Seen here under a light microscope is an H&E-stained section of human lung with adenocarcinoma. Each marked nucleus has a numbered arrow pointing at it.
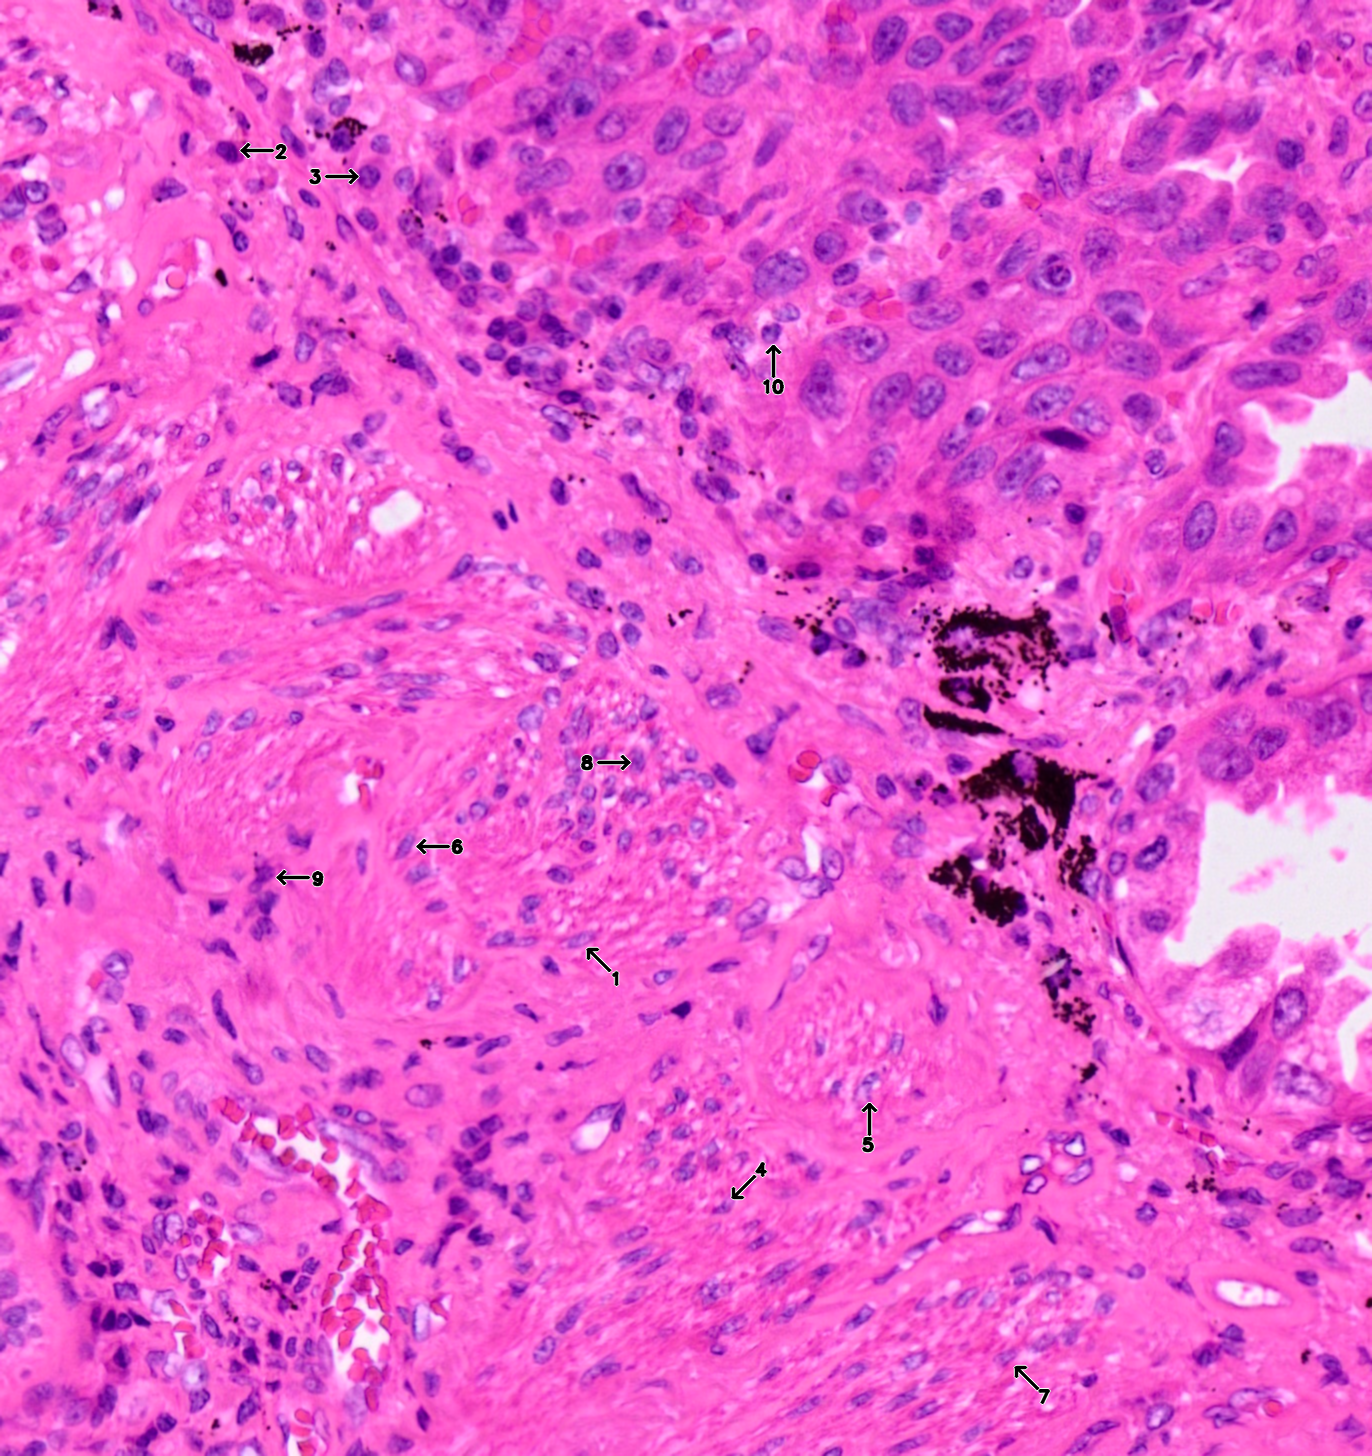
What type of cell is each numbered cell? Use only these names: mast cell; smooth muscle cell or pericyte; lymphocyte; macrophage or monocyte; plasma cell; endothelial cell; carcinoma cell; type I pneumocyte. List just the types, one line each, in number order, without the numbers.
smooth muscle cell or pericyte
plasma cell
plasma cell
smooth muscle cell or pericyte
smooth muscle cell or pericyte
smooth muscle cell or pericyte
smooth muscle cell or pericyte
smooth muscle cell or pericyte
plasma cell
lymphocyte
